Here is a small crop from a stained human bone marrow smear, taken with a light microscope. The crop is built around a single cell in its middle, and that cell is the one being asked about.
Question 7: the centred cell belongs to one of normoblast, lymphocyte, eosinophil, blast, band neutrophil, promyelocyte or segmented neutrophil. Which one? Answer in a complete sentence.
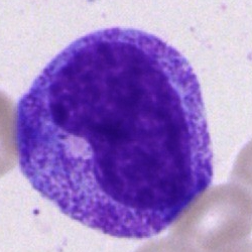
Classified as a promyelocyte is the cell in the middle of this crop.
